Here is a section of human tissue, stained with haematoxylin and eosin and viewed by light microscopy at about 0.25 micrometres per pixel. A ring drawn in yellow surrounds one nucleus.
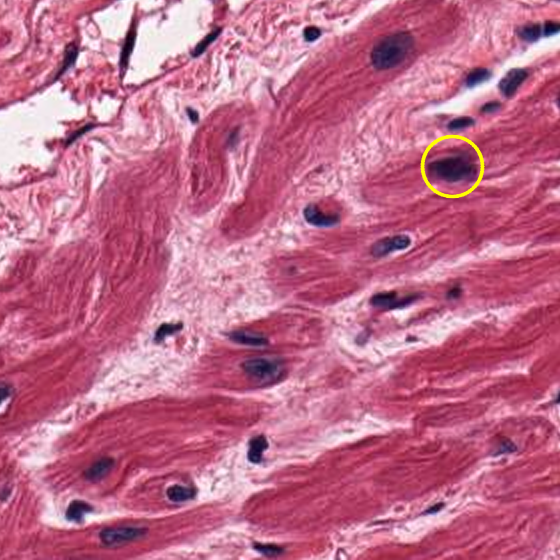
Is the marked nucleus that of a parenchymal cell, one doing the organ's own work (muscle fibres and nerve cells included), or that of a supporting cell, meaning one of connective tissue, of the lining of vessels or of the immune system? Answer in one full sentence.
This marked nucleus is part of a parenchymal cell, namely a cardiomyocyte.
